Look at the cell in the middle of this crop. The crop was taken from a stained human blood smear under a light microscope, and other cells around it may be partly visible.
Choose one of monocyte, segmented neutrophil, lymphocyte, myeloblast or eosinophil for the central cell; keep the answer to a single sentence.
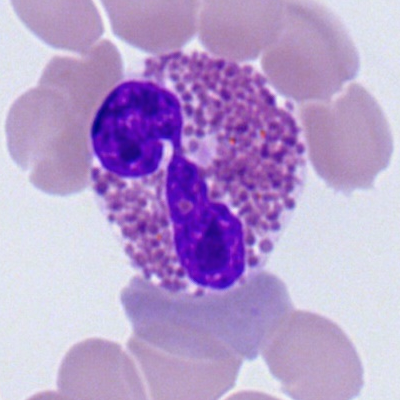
By type, the central cell of the crop is an eosinophil.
